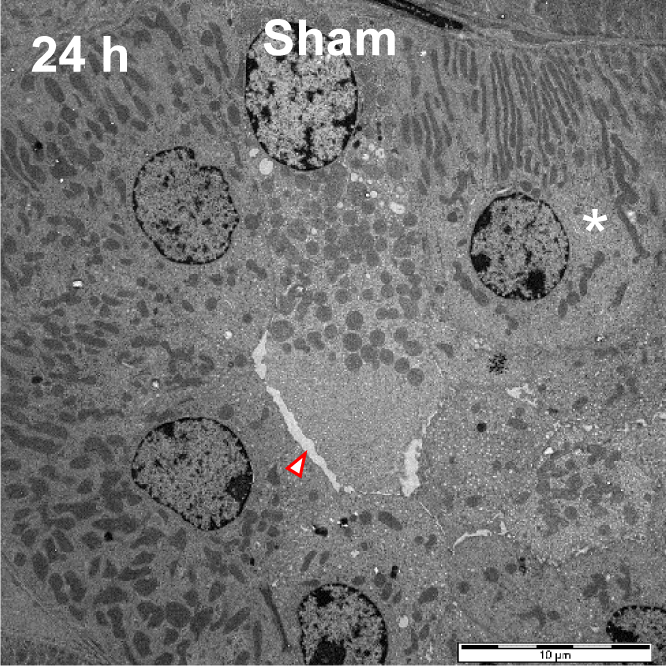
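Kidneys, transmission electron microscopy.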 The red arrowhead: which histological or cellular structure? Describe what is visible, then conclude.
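Tubular lumen. The arrowhead points to a narrow pale slit between epithelial cells. Several cells with round nuclei surround the slit.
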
